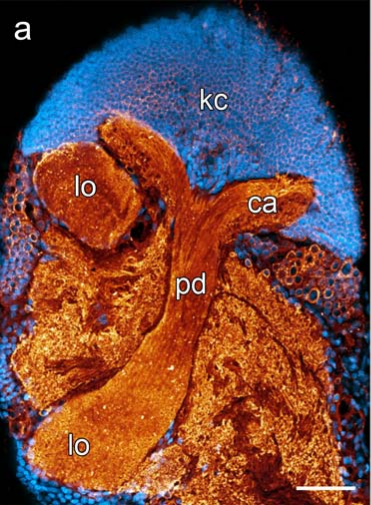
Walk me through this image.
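This section of an insect brain shows a mushroom body, capped by a broad dome of small-diameter Kenyon cells whose densely packed nuclei glow blue. Beneath this cap lies an orange, cup-like calyx neuropil, from which a narrow stalk-like peduncle runs downward. The peduncle opens into large, bulky orange lobes, one rounded lobe lying to the upper left and a broader one extending toward the lower left. Scattered larger cell bodies with ring-like outlines border the neuropil at the edges.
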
